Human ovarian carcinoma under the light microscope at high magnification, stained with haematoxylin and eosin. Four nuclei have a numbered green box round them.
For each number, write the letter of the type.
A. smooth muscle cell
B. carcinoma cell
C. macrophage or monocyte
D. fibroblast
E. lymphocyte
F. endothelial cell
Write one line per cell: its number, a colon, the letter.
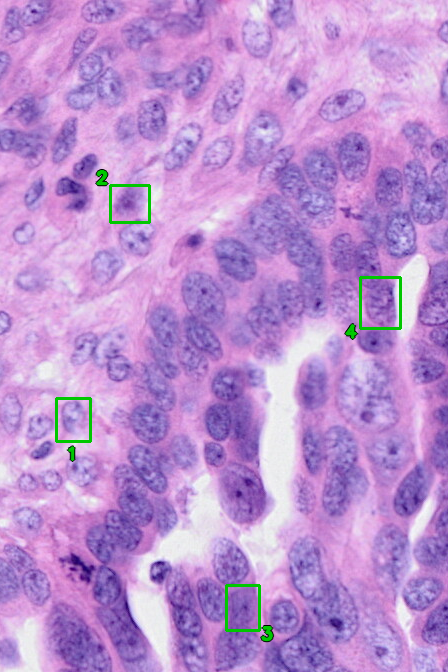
1: D
2: D
3: B
4: B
